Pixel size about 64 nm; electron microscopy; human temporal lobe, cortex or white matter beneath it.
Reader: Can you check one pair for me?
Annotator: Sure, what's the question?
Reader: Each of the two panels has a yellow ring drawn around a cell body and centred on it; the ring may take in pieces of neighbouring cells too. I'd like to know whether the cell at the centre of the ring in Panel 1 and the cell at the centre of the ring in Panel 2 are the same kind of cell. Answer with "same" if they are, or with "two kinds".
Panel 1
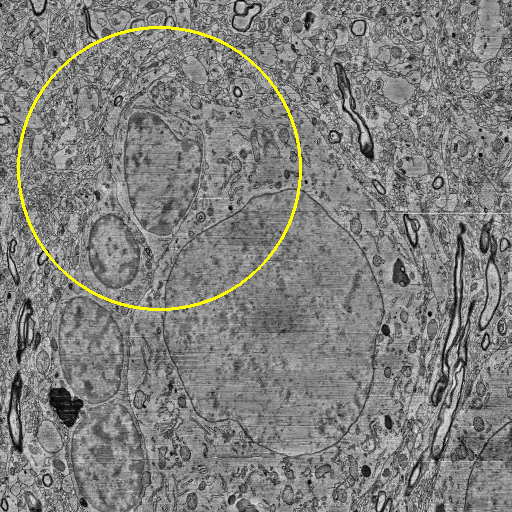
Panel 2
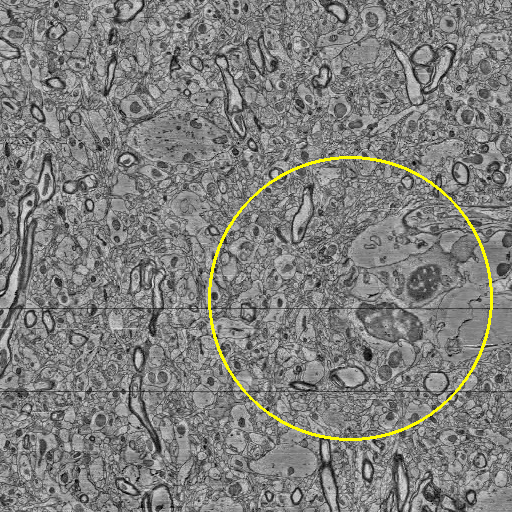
same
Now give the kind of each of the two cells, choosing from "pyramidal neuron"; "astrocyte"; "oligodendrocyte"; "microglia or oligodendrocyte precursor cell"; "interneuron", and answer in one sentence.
Each cell, in the first picture and the second, is a microglial cell or oligodendrocyte precursor cell.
